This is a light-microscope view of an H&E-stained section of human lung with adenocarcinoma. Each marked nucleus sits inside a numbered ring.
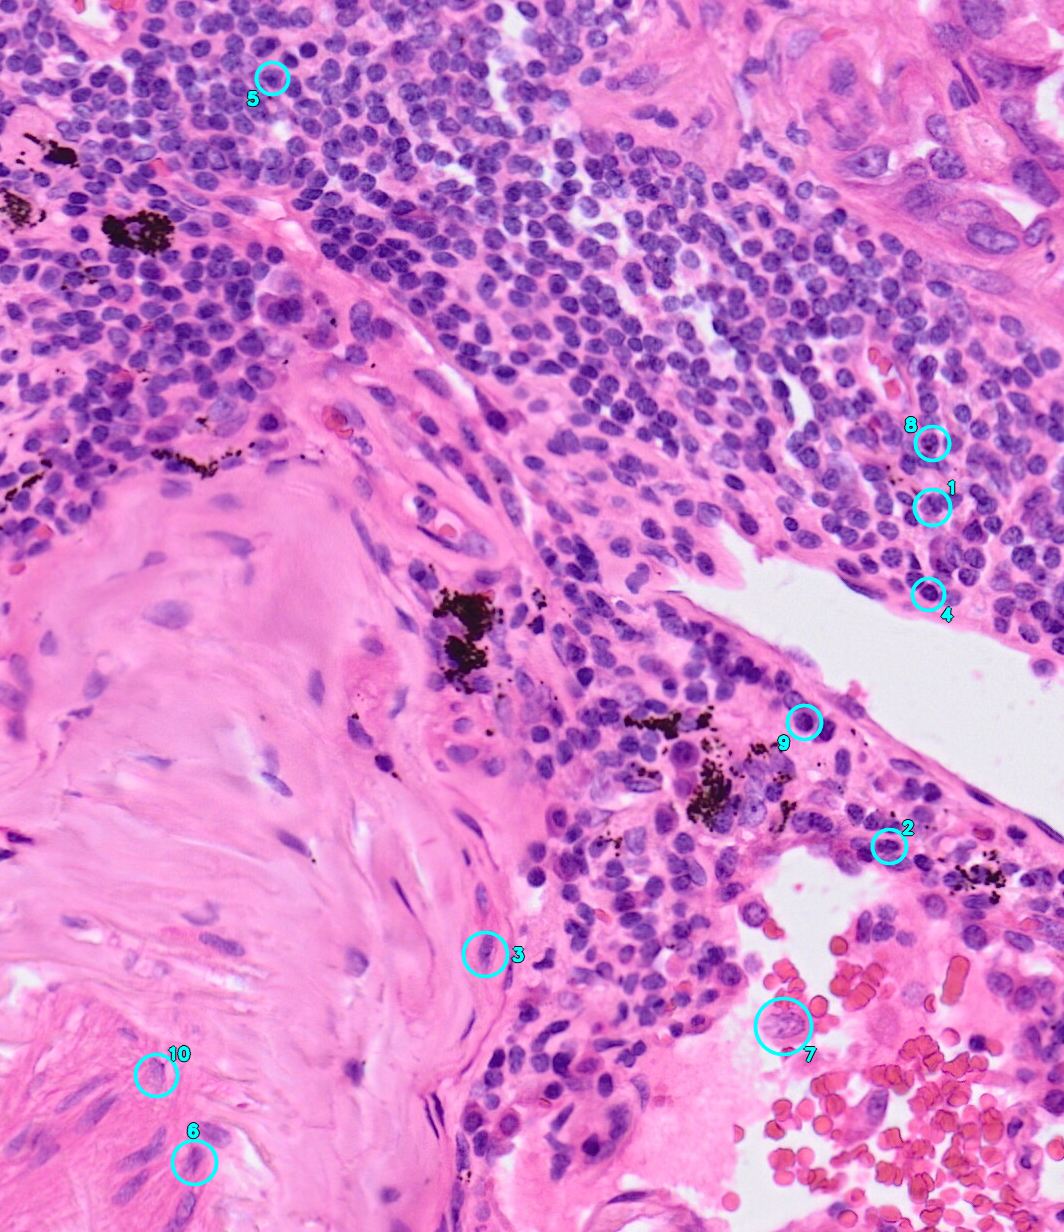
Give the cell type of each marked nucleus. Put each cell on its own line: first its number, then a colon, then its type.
1: lymphocyte
2: lymphocyte
3: smooth muscle cell or pericyte
4: lymphocyte
5: lymphocyte
6: smooth muscle cell or pericyte
7: macrophage or monocyte
8: lymphocyte
9: lymphocyte
10: smooth muscle cell or pericyte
